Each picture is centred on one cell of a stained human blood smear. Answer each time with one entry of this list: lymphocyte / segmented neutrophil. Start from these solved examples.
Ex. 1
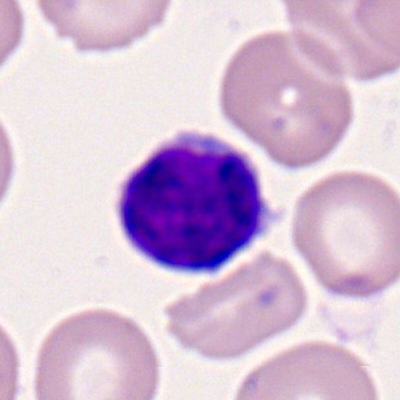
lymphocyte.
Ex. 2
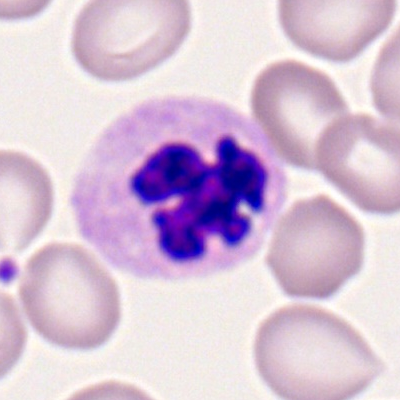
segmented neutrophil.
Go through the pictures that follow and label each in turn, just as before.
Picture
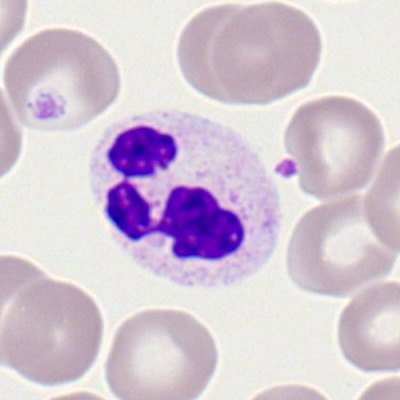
segmented neutrophil.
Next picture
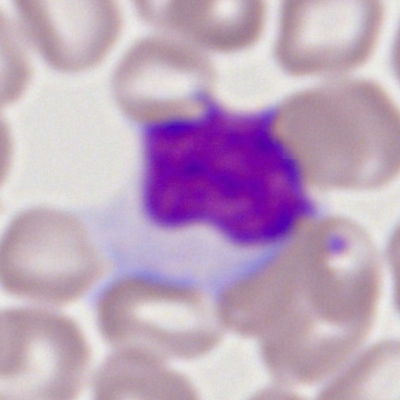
lymphocyte.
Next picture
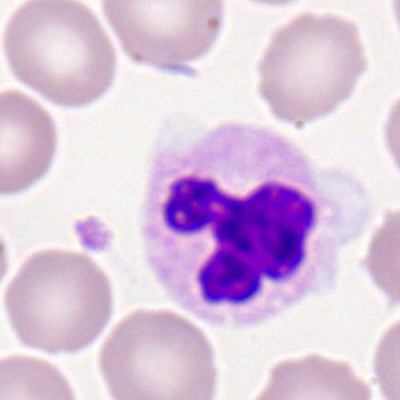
segmented neutrophil.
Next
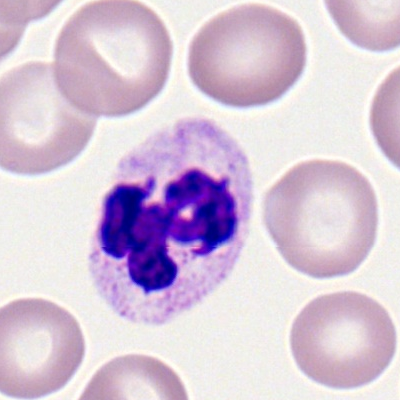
segmented neutrophil.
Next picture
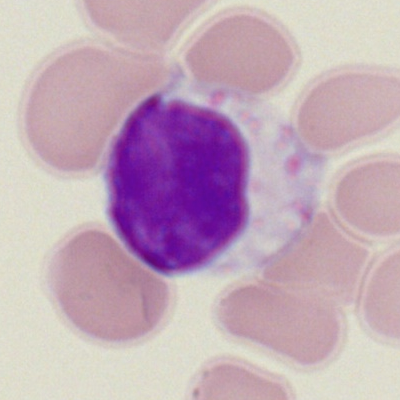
lymphocyte.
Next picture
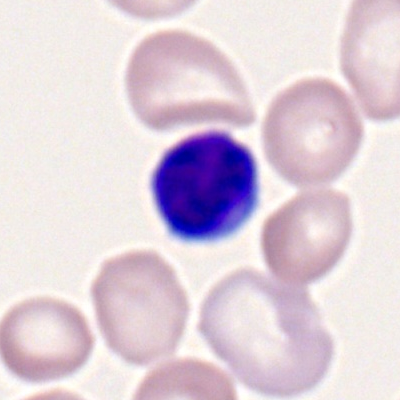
lymphocyte.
